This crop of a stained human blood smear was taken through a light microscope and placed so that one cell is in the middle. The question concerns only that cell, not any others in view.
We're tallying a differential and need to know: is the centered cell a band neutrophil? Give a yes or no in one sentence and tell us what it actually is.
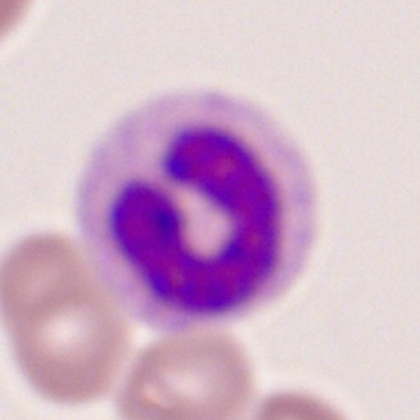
Yes, the identity of the central cell is that of a band neutrophil.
